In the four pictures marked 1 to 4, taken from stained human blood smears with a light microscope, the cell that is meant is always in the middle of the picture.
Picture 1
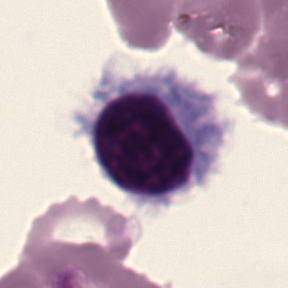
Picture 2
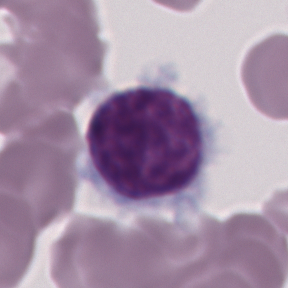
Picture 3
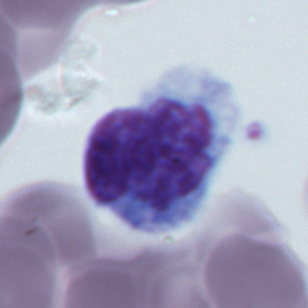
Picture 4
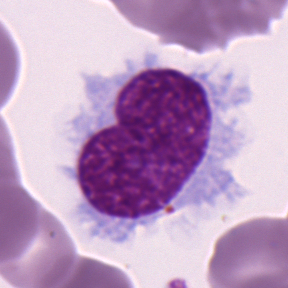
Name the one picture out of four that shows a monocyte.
3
